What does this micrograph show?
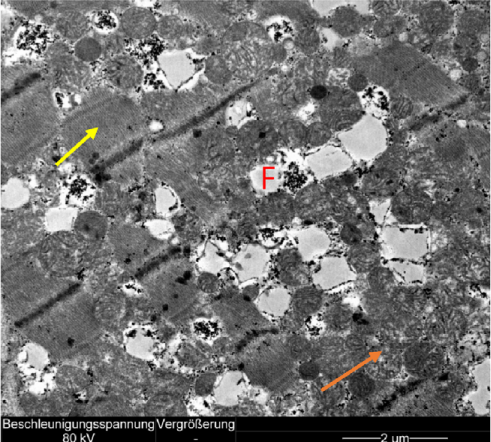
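This transmission electron micrograph shows skeletal muscle in section, with bundles of myofibrils running diagonally across the field. The myofibrils show regular cross-striation, with dark transverse lines repeating at even intervals along their length. Numerous dark, round to oval mitochondria lie between the myofibrils, often in clusters. Many pale, smooth, round to angular droplets of fat are scattered among the fibrils and mitochondria. Small clumps of dense black granules lie next to many of the pale droplets.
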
